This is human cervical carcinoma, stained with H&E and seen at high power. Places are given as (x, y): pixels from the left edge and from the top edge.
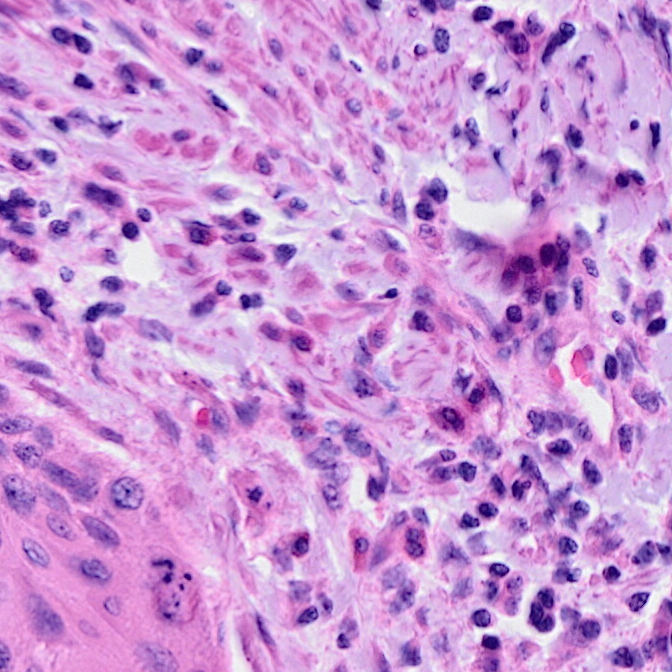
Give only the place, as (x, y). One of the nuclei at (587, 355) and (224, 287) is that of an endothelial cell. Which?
(587, 355)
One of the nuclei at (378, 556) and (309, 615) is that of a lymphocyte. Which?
(309, 615)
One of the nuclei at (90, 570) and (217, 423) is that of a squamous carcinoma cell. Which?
(90, 570)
